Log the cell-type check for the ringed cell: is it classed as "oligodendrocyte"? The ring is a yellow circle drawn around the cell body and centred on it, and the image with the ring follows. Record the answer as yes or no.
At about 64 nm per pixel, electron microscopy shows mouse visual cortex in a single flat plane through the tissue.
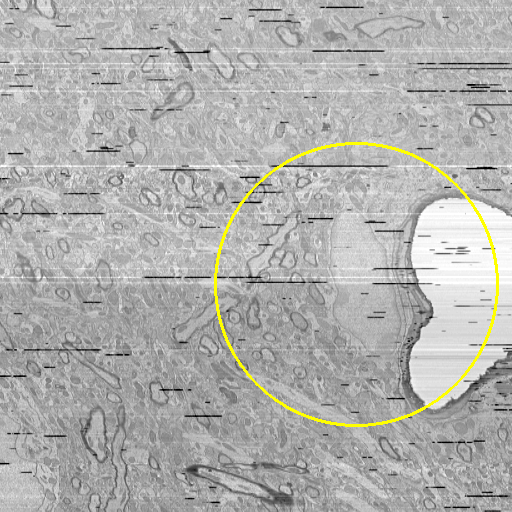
No, it is classed as another type.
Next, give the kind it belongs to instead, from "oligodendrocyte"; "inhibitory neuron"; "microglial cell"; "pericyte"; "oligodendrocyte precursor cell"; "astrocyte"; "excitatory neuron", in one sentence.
Instead, the cell at the centre of the ring is an astrocyte.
